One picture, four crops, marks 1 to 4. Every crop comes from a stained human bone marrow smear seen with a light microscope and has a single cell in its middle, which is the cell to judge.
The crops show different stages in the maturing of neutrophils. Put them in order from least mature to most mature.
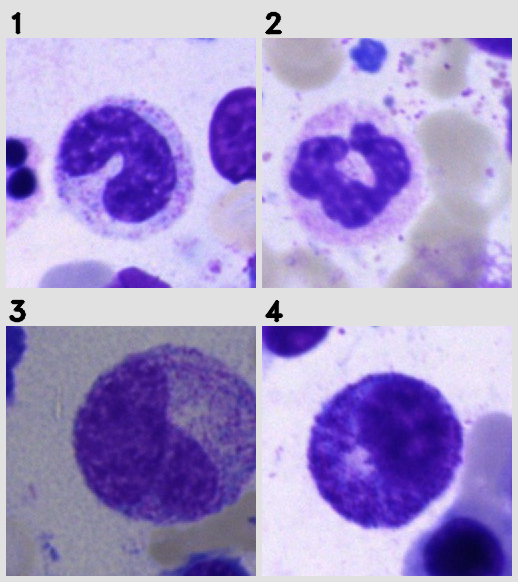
4, 3, 1, 2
